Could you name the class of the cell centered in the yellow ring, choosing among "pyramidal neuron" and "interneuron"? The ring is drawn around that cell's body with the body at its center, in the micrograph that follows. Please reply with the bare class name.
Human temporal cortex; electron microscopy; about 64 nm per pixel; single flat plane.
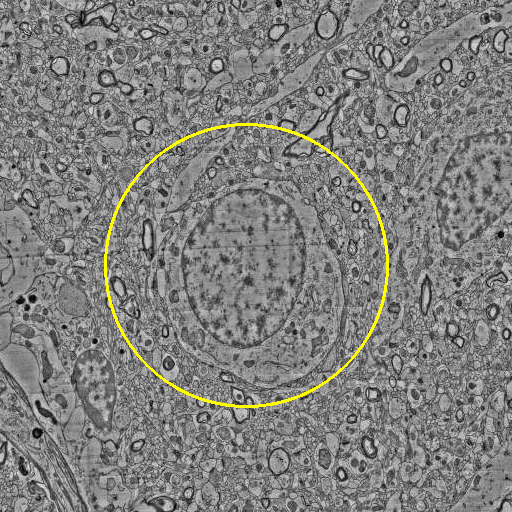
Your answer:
interneuron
